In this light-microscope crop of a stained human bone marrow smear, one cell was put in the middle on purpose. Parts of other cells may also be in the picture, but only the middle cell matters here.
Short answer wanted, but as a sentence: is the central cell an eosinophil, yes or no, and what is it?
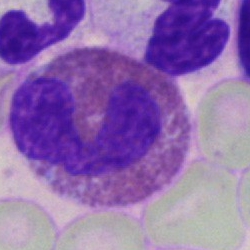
Yes, that is right: the middle cell is an eosinophil.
